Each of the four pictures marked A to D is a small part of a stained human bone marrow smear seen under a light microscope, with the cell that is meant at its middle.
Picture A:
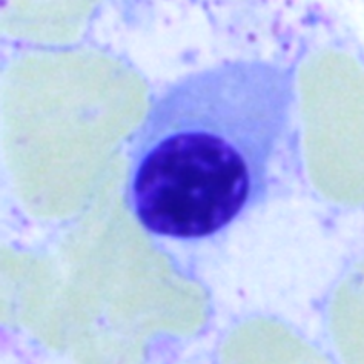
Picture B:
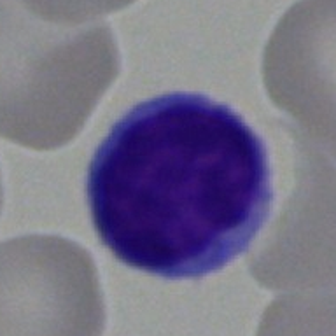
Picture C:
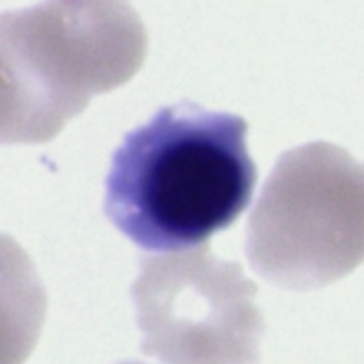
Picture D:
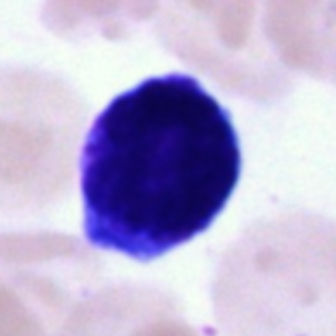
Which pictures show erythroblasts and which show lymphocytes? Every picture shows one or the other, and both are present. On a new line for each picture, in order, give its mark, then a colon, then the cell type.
A: erythroblast
B: lymphocyte
C: erythroblast
D: lymphocyte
